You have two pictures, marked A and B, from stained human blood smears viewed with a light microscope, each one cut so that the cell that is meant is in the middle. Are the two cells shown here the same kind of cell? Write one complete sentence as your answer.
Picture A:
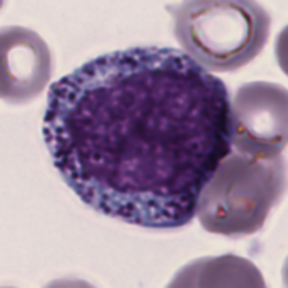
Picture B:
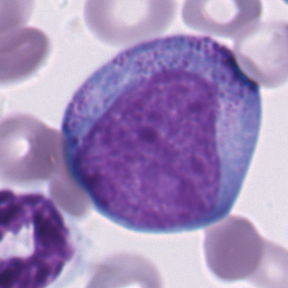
Yes, both cells are promyelocytes.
